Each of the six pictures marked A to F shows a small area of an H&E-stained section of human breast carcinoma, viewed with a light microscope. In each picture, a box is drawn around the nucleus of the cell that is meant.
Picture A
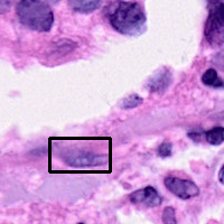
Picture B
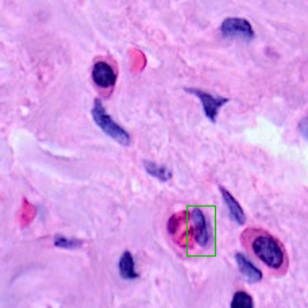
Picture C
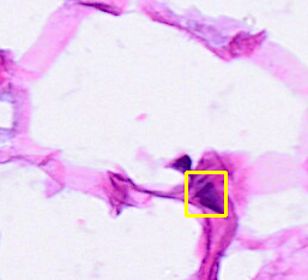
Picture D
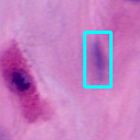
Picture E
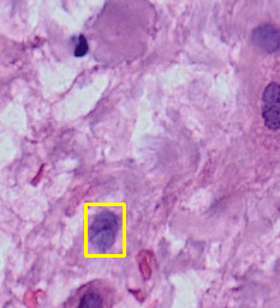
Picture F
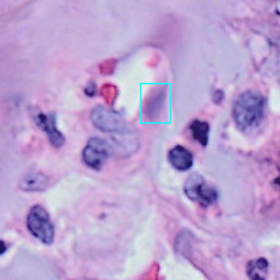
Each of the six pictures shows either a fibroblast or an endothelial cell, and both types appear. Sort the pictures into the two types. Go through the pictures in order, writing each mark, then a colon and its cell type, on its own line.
A: endothelial cell
B: endothelial cell
C: endothelial cell
D: fibroblast
E: fibroblast
F: endothelial cell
